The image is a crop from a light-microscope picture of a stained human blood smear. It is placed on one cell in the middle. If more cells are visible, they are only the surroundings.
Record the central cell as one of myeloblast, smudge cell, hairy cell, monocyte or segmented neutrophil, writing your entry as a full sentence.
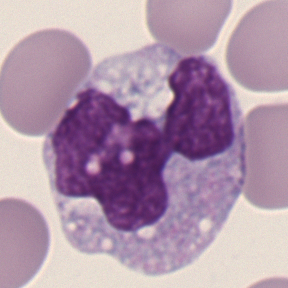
The cell around which this crop is centred is a monocyte.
